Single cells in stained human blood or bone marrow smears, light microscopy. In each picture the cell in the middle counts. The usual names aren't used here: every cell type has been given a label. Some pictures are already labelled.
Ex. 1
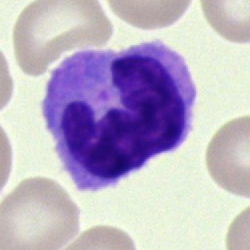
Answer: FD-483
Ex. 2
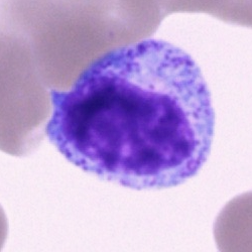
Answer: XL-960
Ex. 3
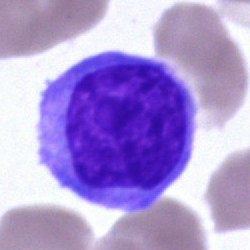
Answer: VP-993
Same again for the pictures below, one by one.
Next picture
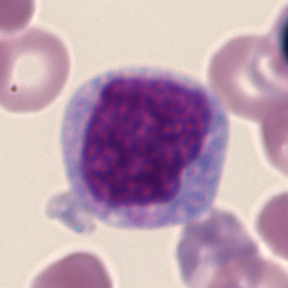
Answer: FD-483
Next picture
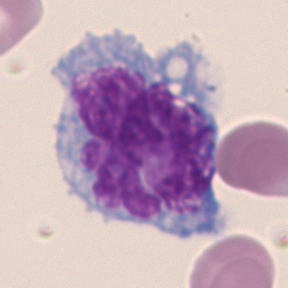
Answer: FD-483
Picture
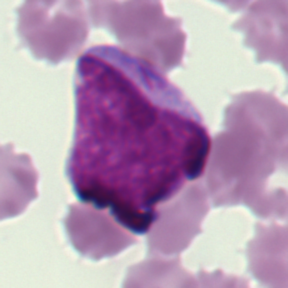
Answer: VP-993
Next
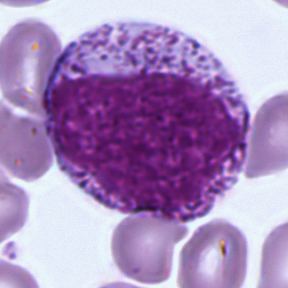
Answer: XL-960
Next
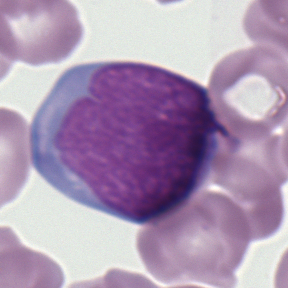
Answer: VP-993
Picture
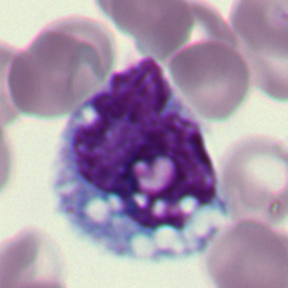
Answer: FD-483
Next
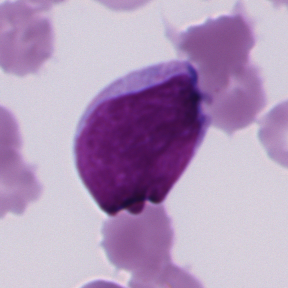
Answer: VP-993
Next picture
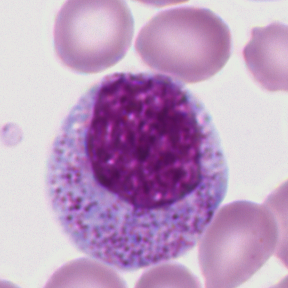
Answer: XL-960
